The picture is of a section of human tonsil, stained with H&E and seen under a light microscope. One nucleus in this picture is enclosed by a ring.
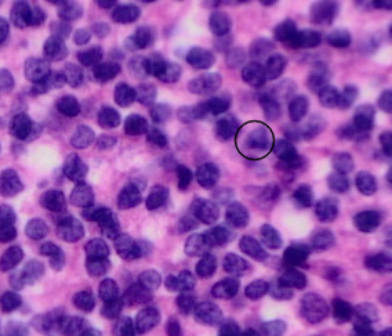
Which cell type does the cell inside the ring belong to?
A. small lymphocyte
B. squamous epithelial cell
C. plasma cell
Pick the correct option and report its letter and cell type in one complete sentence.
That the cell inside the ring is a small lymphocyte makes option A the correct choice.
